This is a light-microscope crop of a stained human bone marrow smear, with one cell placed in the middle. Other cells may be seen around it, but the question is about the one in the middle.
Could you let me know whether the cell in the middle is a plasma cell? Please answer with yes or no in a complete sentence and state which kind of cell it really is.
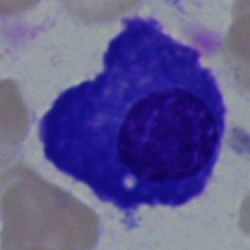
Yes, a plasma cell is the cell positioned in the middle of the field.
